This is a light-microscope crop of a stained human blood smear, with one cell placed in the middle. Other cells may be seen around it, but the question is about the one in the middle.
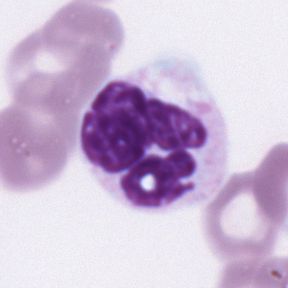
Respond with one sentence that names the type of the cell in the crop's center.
Here the centrally located cell is a segmented neutrophil.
